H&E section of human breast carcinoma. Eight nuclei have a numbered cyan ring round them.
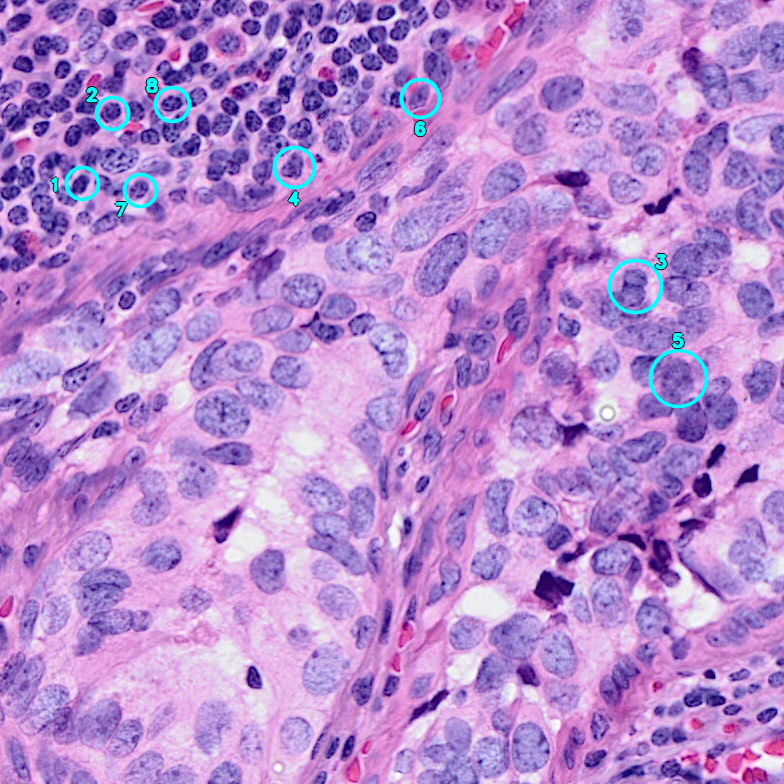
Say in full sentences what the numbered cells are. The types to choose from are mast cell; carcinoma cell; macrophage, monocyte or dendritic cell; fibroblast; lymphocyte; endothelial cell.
Cell 1 is a lymphocyte, cell 2 is a lymphocyte, cell 3 is a carcinoma cell, cell 4 is a lymphocyte, cell 5 is a carcinoma cell, cell 6 is an endothelial cell, cell 7 is a lymphocyte and cell 8 is a lymphocyte.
